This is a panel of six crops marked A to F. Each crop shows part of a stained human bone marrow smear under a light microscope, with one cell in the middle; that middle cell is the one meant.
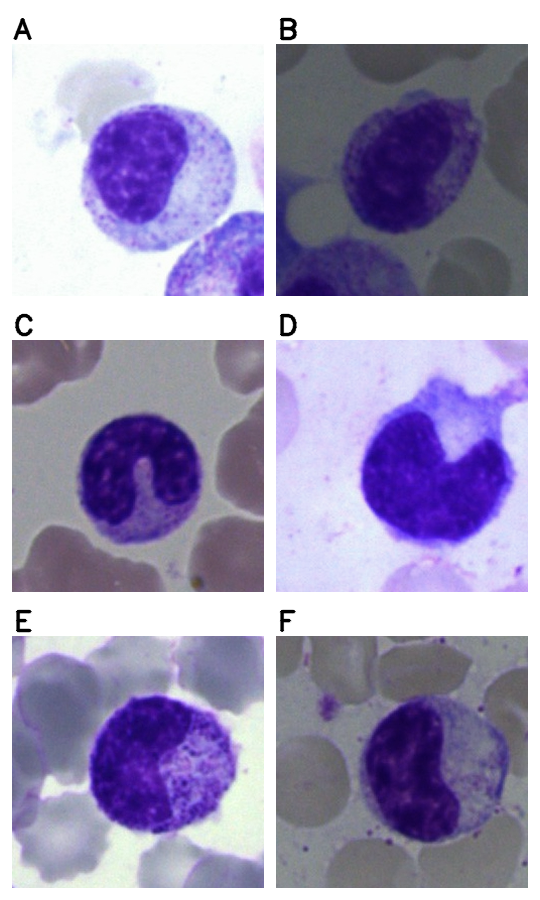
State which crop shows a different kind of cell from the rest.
C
